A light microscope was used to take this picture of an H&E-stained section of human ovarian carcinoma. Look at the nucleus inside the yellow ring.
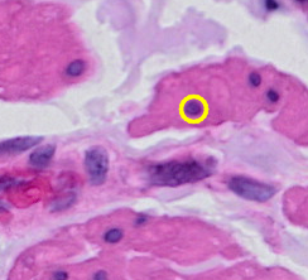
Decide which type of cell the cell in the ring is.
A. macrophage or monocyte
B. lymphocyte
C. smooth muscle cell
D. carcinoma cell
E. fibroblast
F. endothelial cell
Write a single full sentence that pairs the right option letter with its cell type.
The choice that fits is option C, as the cell in the ring is a smooth muscle cell.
